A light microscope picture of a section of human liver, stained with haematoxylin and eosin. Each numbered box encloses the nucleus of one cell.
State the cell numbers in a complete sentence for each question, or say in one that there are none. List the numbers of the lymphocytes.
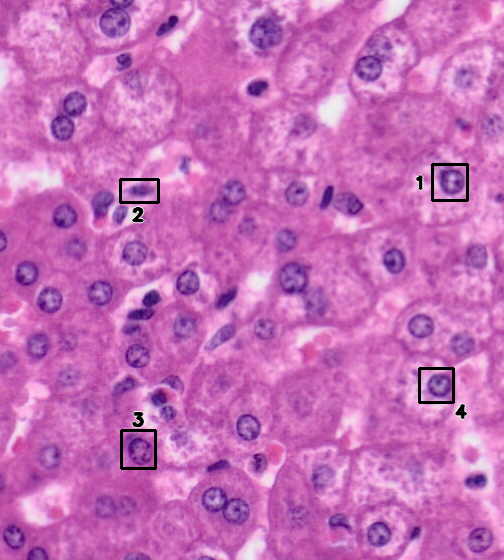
Cell 2 is the single numbered cell that is a lymphocyte.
